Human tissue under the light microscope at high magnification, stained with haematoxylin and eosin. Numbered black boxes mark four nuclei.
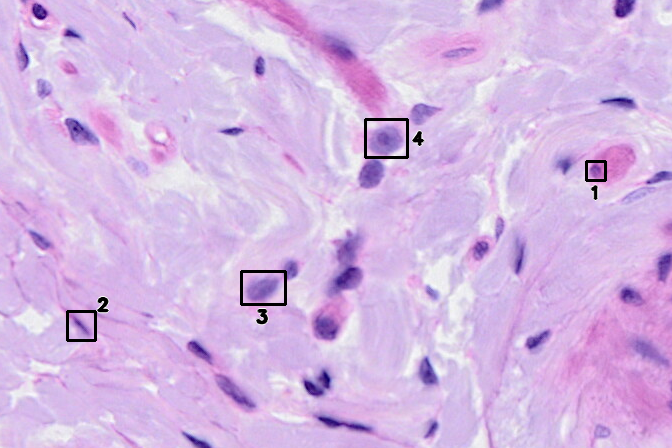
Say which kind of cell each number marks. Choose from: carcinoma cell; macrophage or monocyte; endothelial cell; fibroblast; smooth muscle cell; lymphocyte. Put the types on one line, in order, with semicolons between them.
smooth muscle cell; fibroblast; fibroblast; fibroblast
